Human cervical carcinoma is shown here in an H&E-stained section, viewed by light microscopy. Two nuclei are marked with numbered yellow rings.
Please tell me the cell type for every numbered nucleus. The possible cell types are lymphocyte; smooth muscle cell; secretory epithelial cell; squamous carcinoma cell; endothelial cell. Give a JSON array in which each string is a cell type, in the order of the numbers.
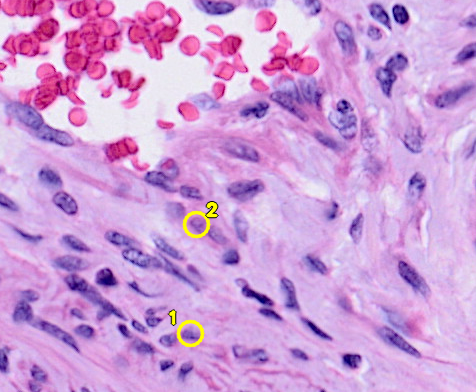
["smooth muscle cell", "endothelial cell"]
